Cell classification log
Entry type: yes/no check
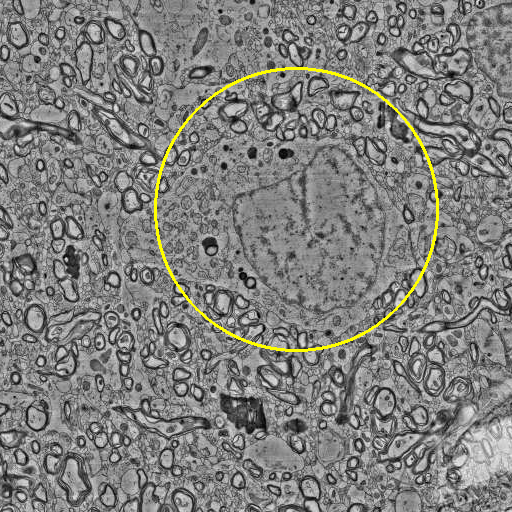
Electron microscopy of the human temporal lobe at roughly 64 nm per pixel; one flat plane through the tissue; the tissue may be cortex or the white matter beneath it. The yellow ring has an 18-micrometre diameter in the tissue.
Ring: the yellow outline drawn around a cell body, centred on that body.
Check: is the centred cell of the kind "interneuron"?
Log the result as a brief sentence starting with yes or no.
Yes, the cell is of that kind.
